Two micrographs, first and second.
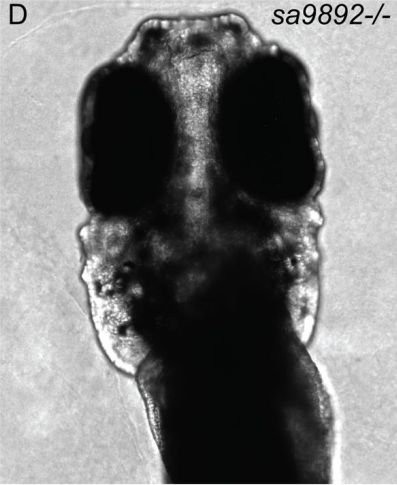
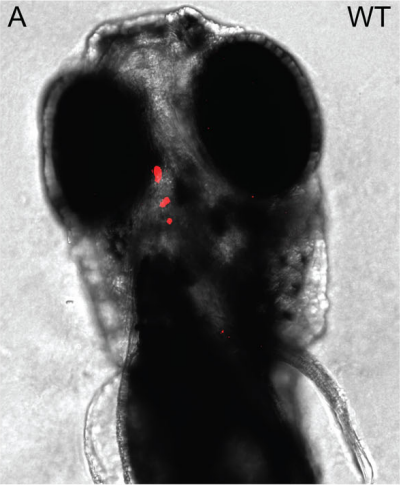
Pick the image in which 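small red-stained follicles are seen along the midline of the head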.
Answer: the second image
